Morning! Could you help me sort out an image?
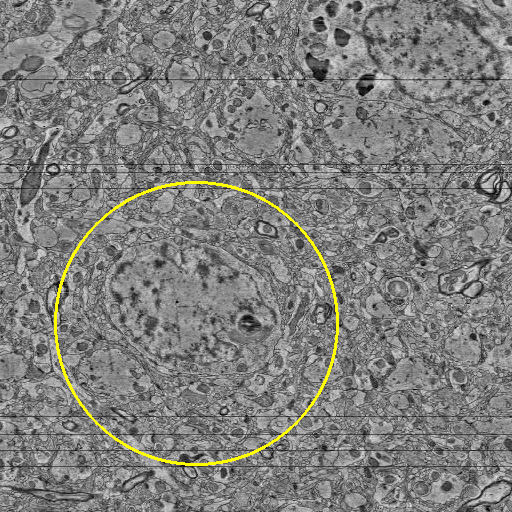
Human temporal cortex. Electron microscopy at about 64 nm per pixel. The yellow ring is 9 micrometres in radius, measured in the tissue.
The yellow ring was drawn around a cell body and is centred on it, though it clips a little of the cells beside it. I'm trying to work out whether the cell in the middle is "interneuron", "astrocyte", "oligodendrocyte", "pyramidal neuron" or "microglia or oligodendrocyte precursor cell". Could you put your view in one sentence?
The ringed cell body is that of an interneuron.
